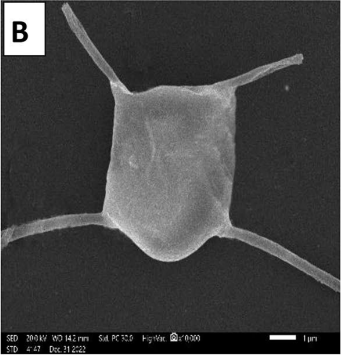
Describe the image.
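A single diatom cell is seen, shaped like a rectangular box with slightly rounded lower end. Its wall surface is smooth with only faint shallow wrinkles. A long thin spine extends outward from each of the four corners. No particles lie on or beside the cell.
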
